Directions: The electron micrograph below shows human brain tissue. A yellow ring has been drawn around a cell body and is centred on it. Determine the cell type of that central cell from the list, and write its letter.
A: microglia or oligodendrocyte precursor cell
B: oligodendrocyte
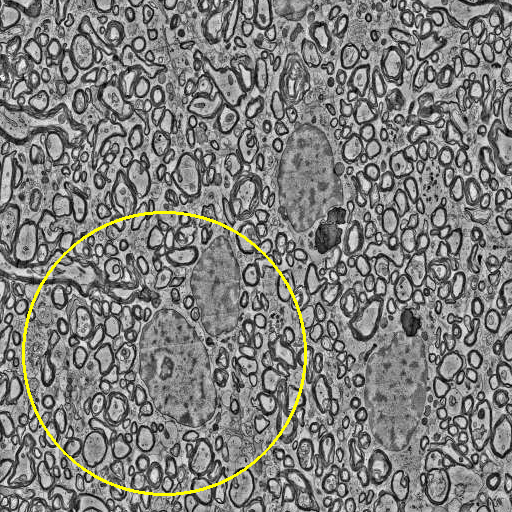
A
